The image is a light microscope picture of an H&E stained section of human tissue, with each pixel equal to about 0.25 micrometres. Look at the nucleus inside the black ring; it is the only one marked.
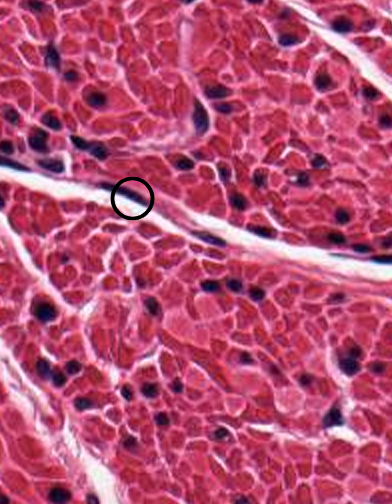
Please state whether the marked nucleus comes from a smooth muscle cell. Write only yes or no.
no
